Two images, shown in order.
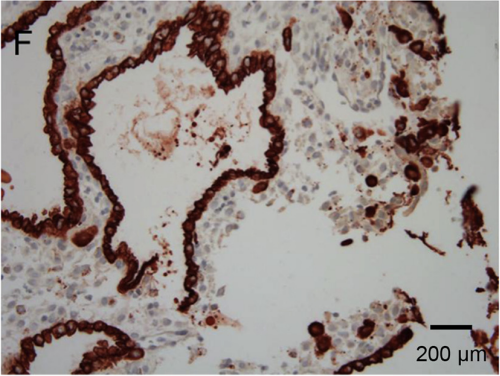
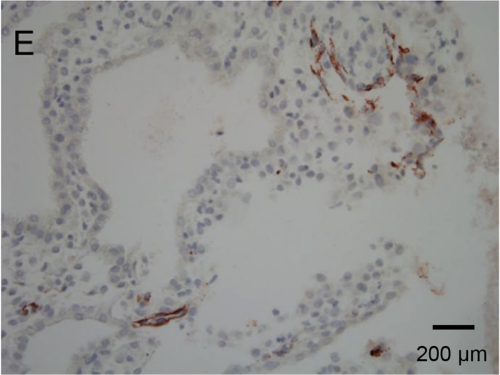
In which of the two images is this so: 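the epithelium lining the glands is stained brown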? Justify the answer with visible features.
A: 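First image: the cell layer lining the large lumina is intensely brown throughout. Second image: the cells lining the similar lumina are unstained, with only blue nuclei; brown is limited to a few thin streaks in the stroma. So: the first image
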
